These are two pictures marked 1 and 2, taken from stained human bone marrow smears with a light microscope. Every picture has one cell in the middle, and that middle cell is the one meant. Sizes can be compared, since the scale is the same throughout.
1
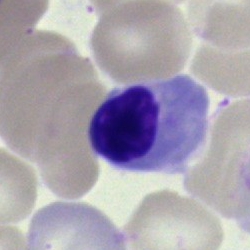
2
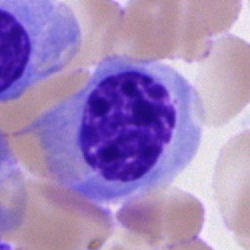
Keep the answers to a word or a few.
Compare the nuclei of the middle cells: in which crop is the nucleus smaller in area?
1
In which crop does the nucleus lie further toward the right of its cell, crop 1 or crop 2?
2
